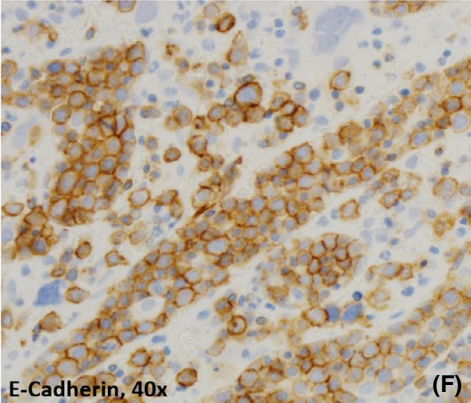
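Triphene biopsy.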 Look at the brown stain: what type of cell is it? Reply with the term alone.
erythroblasts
